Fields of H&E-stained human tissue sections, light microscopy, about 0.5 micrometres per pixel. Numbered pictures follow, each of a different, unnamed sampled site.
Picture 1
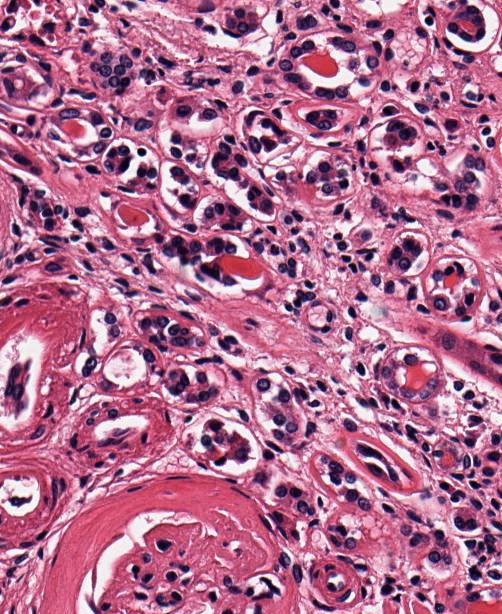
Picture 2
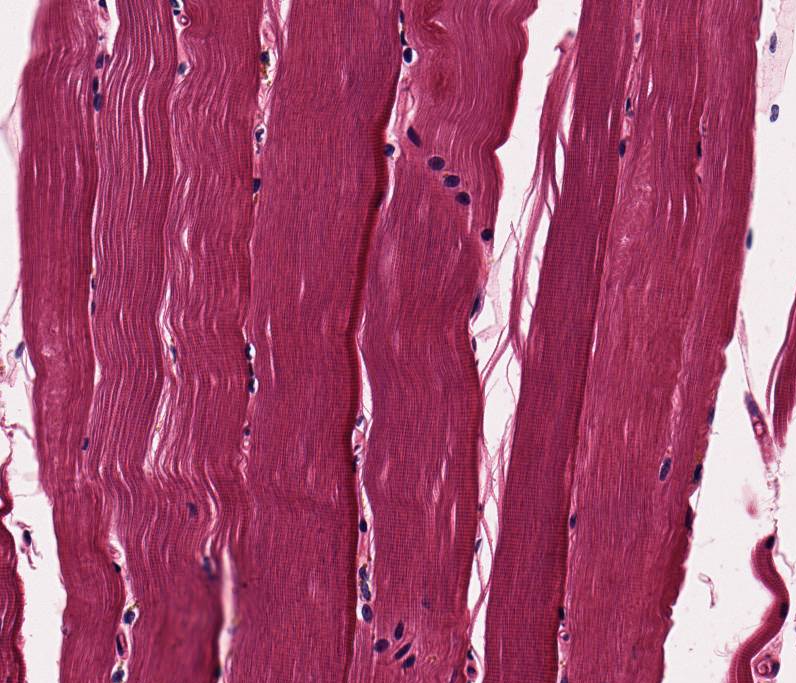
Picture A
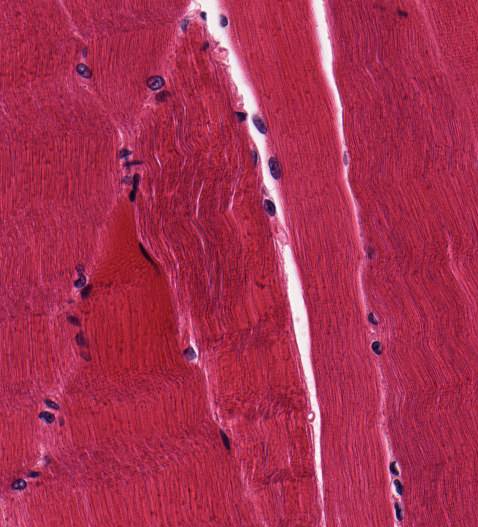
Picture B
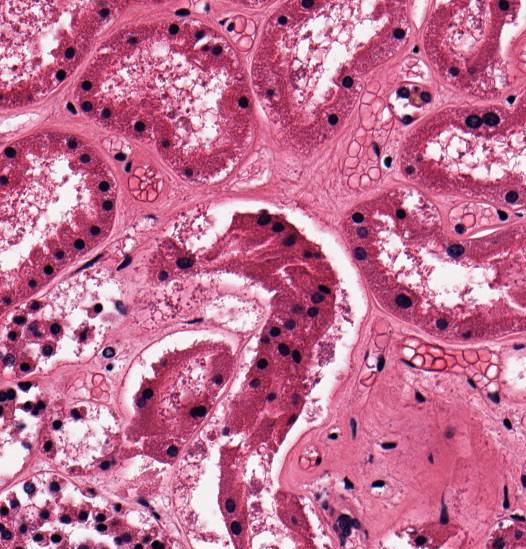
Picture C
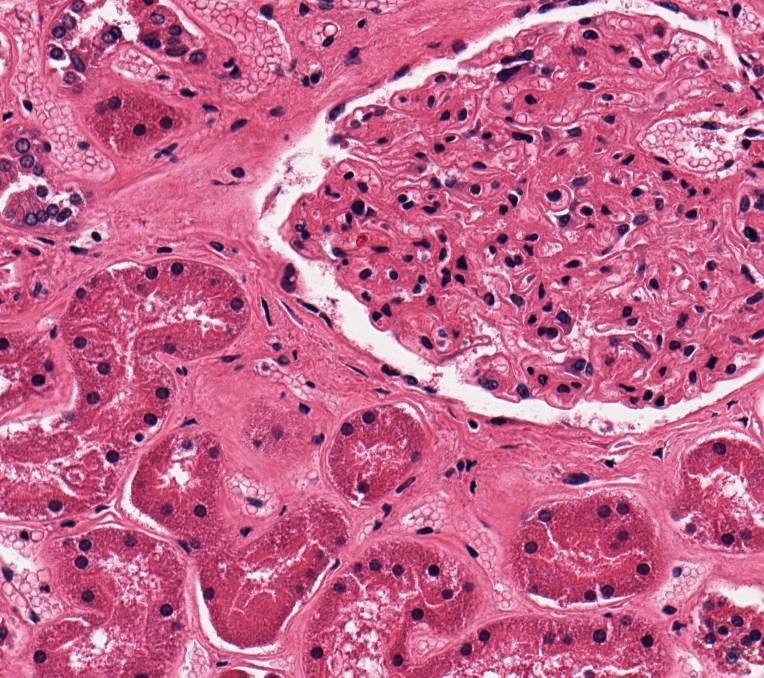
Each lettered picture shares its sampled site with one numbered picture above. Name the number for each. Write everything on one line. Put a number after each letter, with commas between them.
A 2, B 1, C 1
